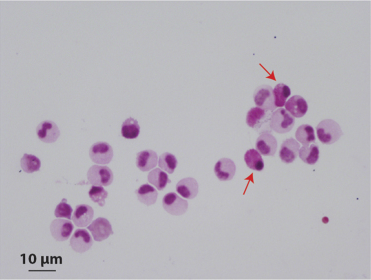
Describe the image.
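The neutrophils are round cells with pale grey-pink cytoplasm and an eccentric, purple, lobed or kidney-shaped nucleus. The eosinophils stand out by a strongly pink-staining cytoplasm, darker than that of their neighbours. The cells lie singly and in small clusters.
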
